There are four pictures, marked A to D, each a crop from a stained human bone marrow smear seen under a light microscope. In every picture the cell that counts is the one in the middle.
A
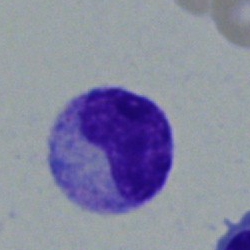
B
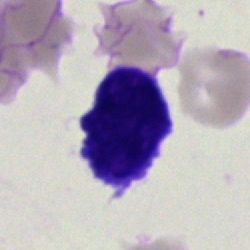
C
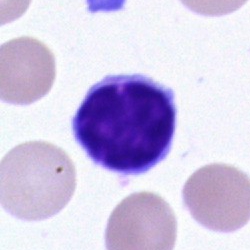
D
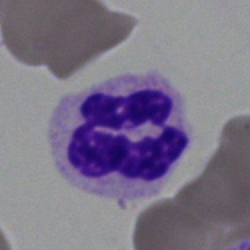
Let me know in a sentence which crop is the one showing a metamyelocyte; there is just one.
Of the labelled crops, the one that shows a metamyelocyte is crop A.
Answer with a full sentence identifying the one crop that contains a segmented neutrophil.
Look at crop D; that is the one with a segmented neutrophil in its center.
